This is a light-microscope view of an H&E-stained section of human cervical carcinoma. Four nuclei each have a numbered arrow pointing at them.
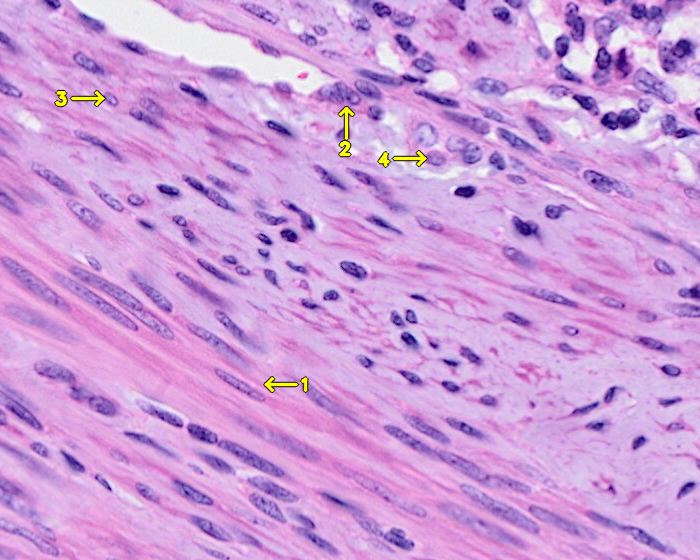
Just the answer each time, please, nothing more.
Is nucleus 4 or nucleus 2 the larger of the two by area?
2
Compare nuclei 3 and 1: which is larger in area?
1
